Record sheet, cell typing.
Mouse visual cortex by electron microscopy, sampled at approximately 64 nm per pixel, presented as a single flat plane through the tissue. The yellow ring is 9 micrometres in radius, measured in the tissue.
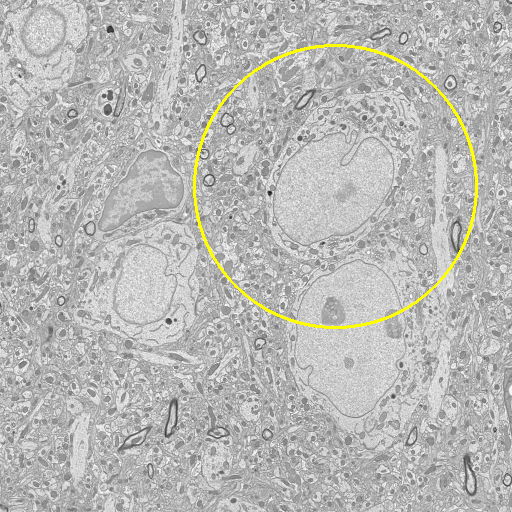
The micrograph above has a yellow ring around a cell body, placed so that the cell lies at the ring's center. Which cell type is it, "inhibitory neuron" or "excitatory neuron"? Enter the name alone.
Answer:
inhibitory neuron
